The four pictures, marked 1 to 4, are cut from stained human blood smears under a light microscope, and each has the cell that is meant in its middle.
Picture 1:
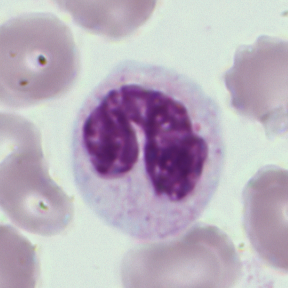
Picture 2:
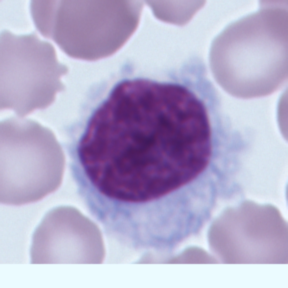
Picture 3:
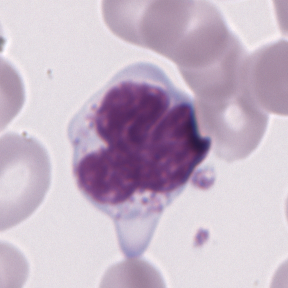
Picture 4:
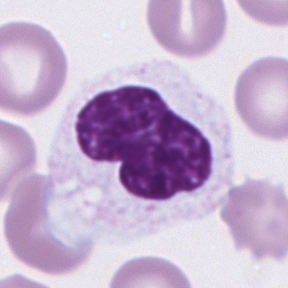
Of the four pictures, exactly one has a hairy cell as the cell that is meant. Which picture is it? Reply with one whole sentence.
Picture 2 shows the hairy cell.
